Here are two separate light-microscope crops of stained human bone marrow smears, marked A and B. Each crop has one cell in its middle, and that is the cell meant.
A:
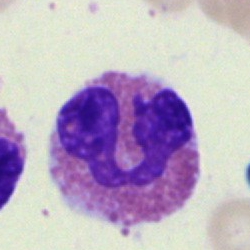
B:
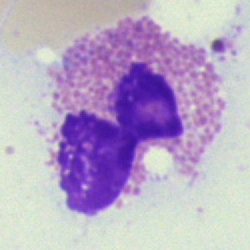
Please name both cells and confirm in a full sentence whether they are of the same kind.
Yes, in the middle of both crops lie eosinophils.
